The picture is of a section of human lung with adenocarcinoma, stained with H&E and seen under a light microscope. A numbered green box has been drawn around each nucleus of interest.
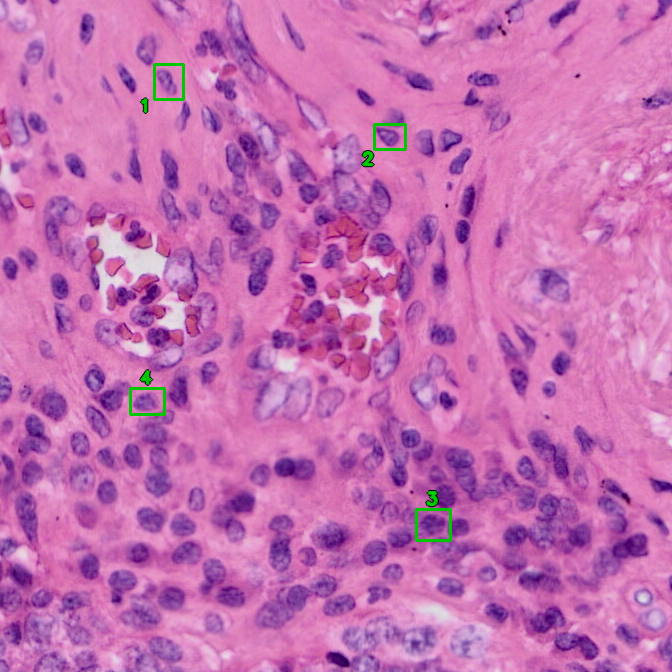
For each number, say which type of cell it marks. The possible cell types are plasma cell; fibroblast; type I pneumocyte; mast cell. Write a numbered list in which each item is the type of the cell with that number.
1. mast cell
2. mast cell
3. plasma cell
4. mast cell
